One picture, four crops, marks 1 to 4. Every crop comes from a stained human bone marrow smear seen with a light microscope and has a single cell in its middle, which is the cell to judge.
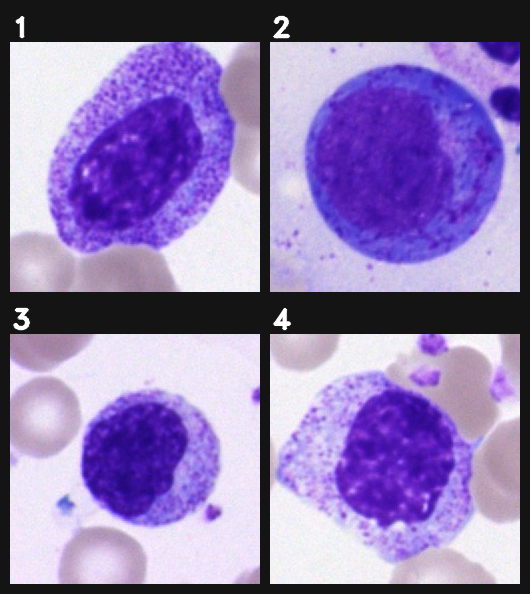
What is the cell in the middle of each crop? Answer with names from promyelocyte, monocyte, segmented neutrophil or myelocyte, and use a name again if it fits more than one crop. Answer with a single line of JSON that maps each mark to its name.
{"1": "myelocyte", "2": "promyelocyte", "3": "myelocyte", "4": "myelocyte"}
